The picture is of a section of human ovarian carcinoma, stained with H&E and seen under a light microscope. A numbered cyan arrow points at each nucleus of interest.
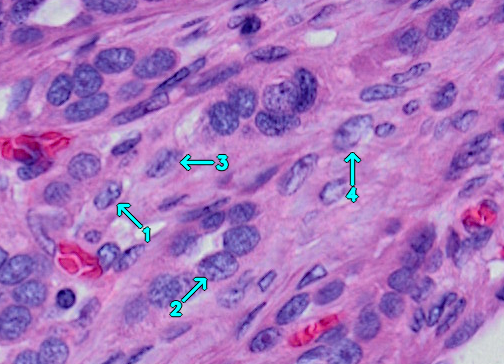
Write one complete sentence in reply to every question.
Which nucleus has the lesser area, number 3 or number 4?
Number 3 is smaller, since number 4 takes up about 2 times as much area.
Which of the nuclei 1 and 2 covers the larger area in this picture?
It is nucleus 2, which covers about 1.5 times the area of nucleus 1.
